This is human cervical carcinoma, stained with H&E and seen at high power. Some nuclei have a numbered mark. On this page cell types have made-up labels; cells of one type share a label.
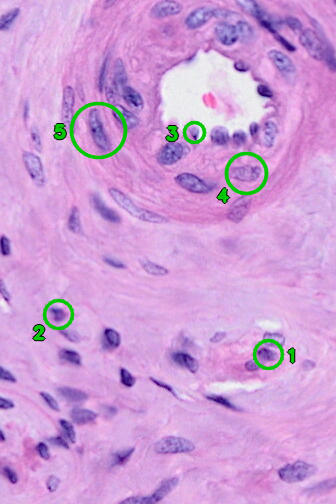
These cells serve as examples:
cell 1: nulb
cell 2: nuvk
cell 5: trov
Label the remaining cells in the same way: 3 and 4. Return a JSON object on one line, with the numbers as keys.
{"3": "nulb", "4": "trov"}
